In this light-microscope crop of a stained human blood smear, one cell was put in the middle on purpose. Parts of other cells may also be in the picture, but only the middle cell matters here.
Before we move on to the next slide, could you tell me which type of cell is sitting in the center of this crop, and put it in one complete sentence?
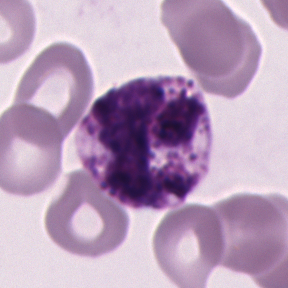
The cell shown in the center of this light-microscope crop is a basophil.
